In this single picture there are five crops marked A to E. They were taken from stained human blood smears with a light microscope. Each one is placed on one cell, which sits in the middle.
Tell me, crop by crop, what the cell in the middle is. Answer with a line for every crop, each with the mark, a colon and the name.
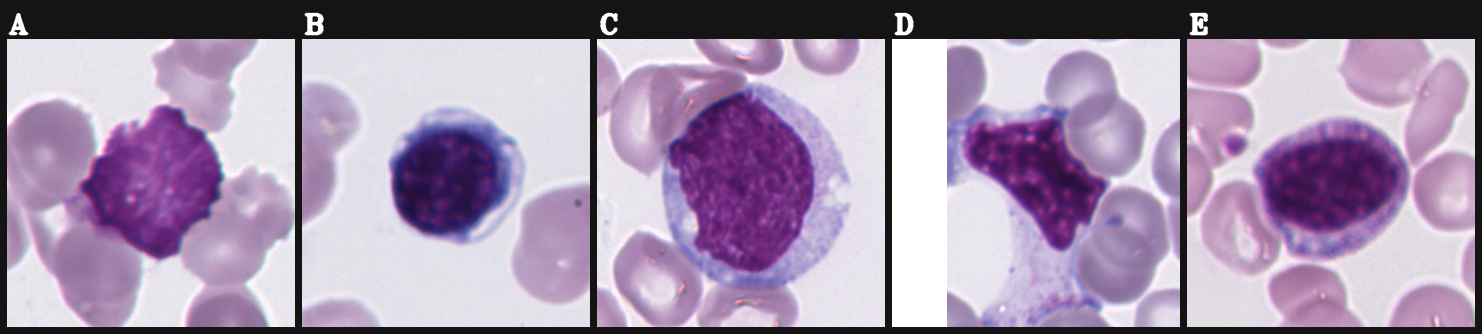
A: smudge cell
B: normoblast
C: monocyte
D: large granular lymphocyte
E: metamyelocyte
